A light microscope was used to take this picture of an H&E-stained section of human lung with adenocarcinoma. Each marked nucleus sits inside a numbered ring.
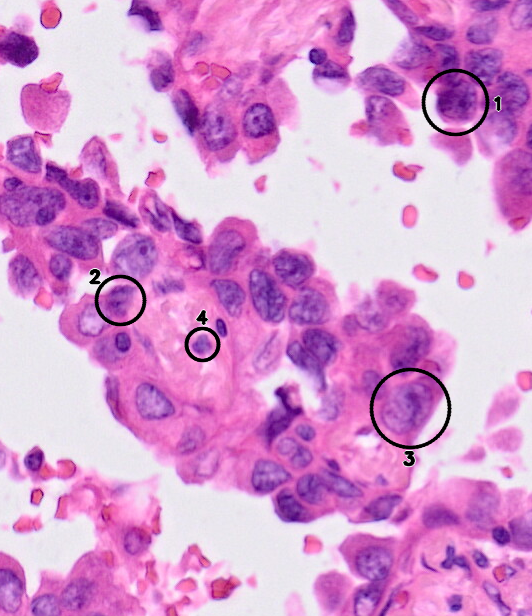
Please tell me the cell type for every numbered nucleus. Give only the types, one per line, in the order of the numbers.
carcinoma cell
carcinoma cell
carcinoma cell
lymphocyte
